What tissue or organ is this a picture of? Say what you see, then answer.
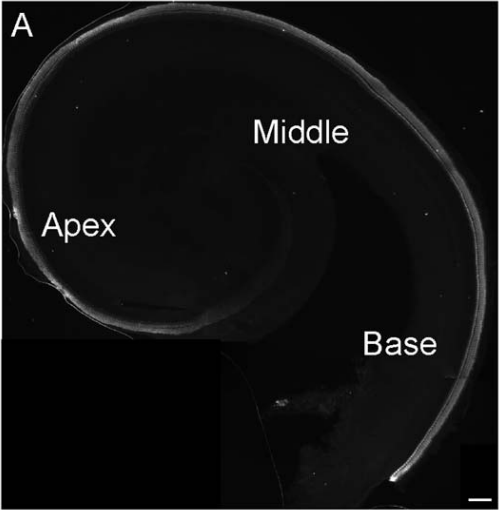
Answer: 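Cochlea. A continuous bright narrow band runs along the whole length of the spiral.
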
